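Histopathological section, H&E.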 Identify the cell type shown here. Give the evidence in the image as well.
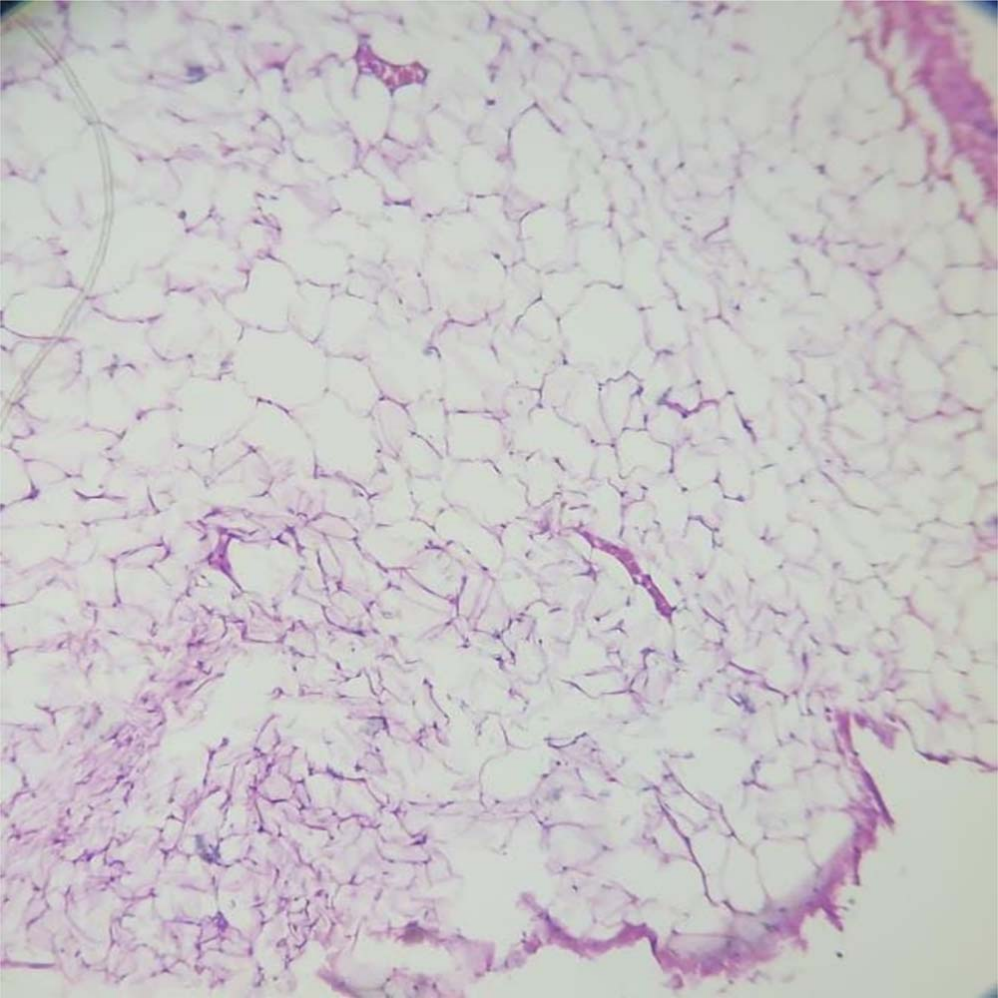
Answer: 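Large, empty-looking polygonal cells fill most of the field. Each cell is bounded only by a thin pink membrane. Few small dark nuclei are pressed to the cell edges. That points to this answer: mature adipocytes.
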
